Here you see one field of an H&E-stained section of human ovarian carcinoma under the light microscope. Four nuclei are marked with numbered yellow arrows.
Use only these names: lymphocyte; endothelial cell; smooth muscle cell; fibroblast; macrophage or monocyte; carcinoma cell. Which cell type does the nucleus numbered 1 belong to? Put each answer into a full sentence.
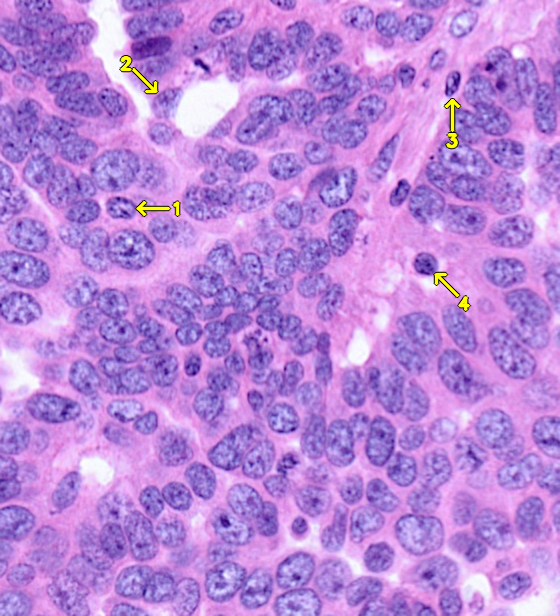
Cell 1 in the field of view is a macrophage or monocyte.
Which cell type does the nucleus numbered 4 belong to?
The mark numbered 4 indicates the nucleus of a lymphocyte.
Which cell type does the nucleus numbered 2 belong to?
The marked cell bearing number 2 is a carcinoma cell.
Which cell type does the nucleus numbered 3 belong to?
The cell that bears the number 3 is a lymphocyte.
